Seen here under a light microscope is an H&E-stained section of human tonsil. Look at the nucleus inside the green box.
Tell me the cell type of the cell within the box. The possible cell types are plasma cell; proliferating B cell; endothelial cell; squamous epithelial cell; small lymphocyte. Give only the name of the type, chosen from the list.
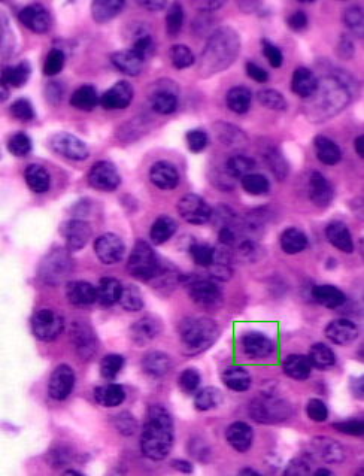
plasma cell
